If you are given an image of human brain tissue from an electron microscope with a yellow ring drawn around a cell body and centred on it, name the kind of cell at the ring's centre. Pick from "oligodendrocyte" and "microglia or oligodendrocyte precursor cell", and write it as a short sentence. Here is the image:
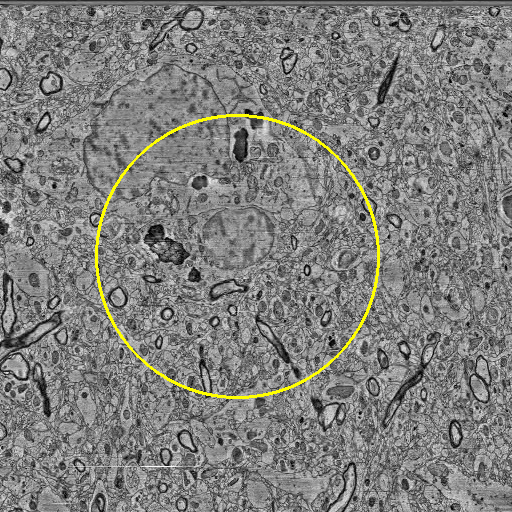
The cell at the ring's centre is an oligodendrocyte.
